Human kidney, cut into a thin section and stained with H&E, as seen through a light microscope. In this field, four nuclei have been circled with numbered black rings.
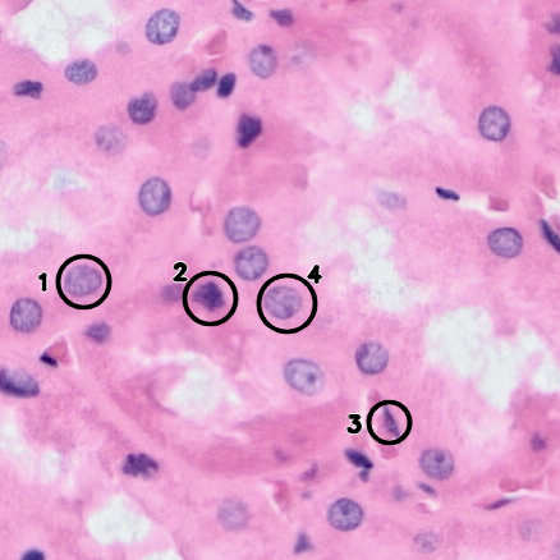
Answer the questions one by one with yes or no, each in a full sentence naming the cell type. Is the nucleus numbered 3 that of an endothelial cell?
Yes, it checks out; the cell labelled 3 is an endothelial cell.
